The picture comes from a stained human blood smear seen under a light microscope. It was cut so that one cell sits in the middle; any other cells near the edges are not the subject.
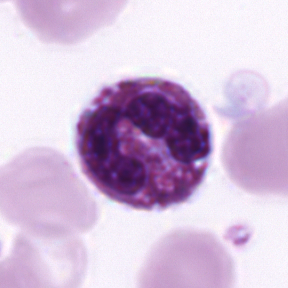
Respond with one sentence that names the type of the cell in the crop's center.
The cell at the centre of the field is an eosinophil.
